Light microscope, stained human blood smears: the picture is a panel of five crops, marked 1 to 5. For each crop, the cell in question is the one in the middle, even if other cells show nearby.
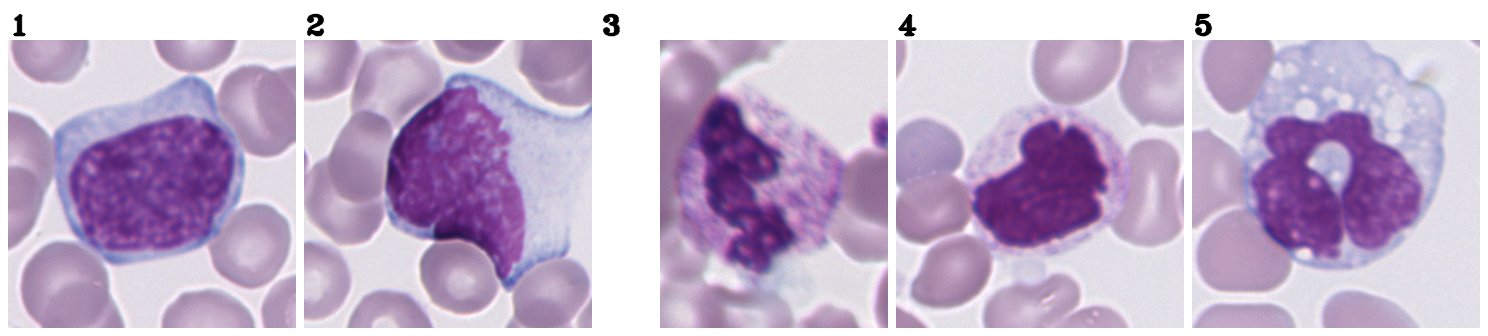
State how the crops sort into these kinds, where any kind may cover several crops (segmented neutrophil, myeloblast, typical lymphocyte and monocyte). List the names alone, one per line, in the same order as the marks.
myeloblast
myeloblast
segmented neutrophil
segmented neutrophil
monocyte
